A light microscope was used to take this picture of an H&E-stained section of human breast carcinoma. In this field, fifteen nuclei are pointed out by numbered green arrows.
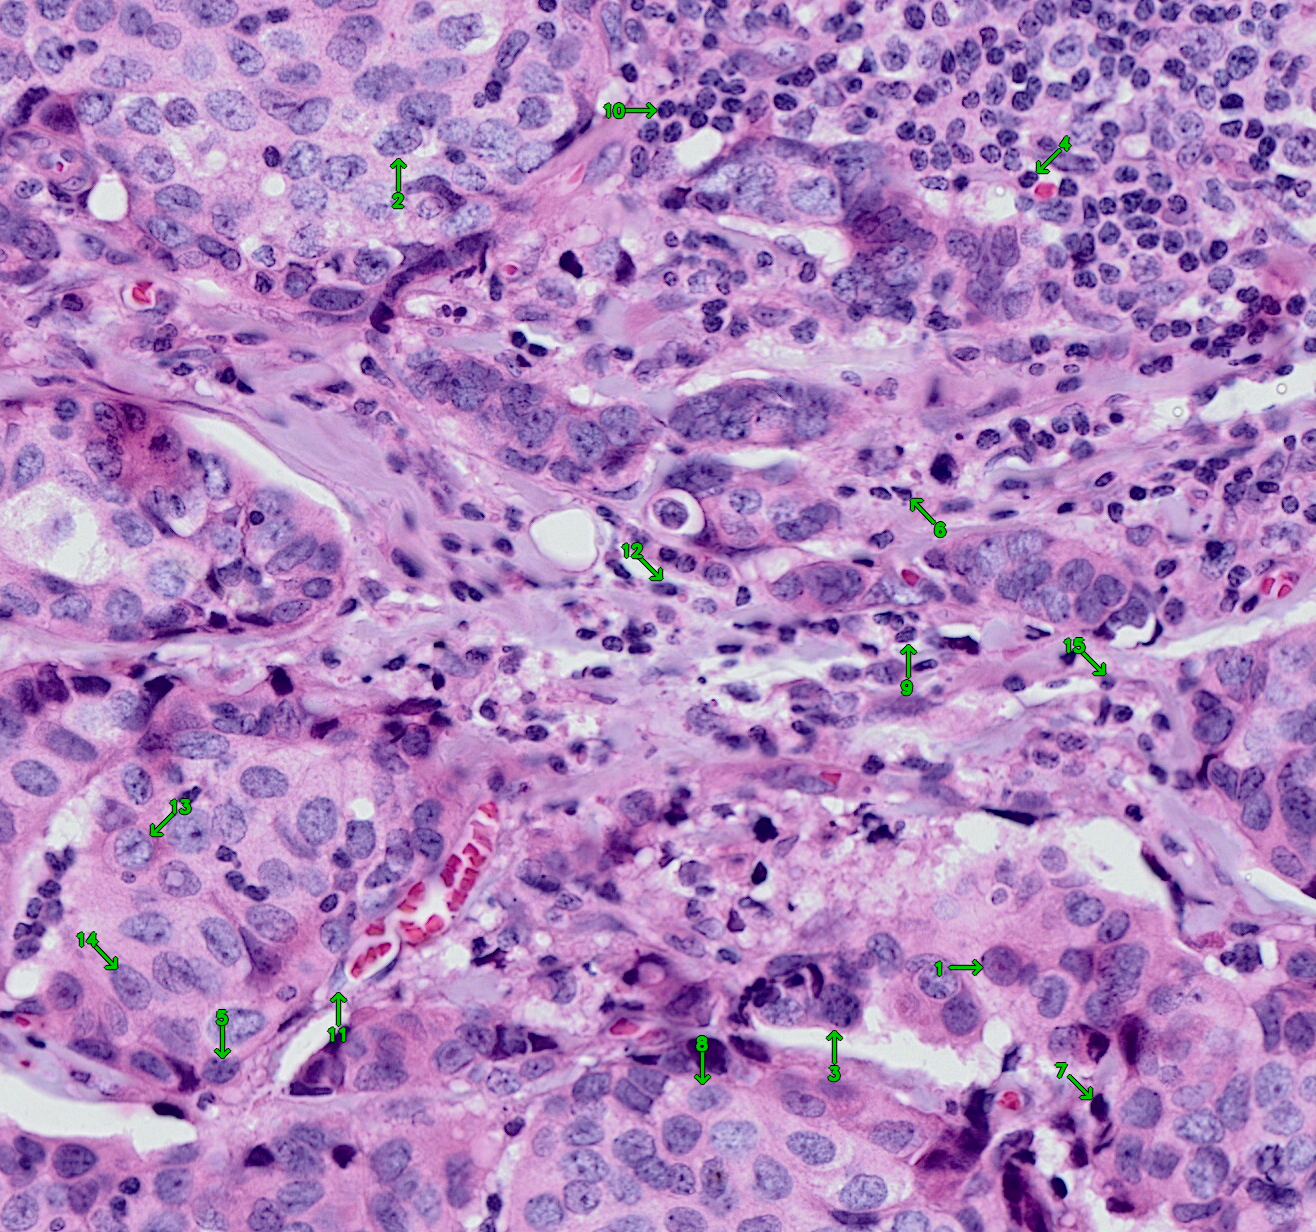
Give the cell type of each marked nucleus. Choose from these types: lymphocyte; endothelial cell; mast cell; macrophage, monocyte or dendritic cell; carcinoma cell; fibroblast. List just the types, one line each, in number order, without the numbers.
carcinoma cell
carcinoma cell
carcinoma cell
lymphocyte
carcinoma cell
lymphocyte
carcinoma cell
carcinoma cell
lymphocyte
lymphocyte
endothelial cell
lymphocyte
carcinoma cell
carcinoma cell
lymphocyte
